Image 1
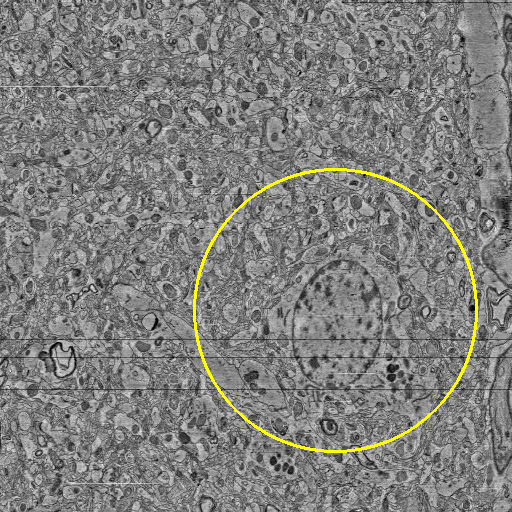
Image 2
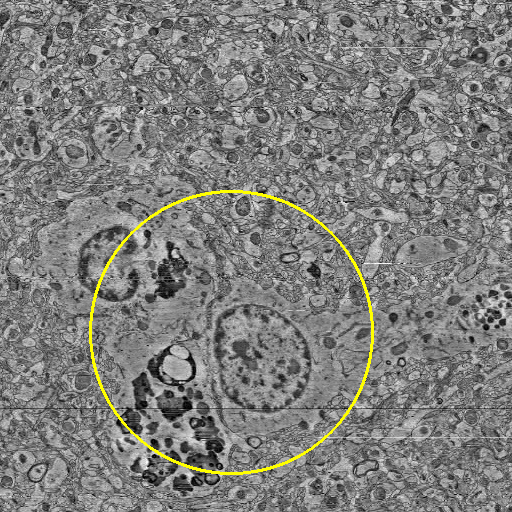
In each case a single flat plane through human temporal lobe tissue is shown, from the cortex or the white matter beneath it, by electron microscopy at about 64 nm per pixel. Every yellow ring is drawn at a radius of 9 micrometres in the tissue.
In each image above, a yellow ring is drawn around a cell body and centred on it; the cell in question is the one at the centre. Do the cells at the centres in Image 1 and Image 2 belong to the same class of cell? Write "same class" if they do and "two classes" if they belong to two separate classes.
same class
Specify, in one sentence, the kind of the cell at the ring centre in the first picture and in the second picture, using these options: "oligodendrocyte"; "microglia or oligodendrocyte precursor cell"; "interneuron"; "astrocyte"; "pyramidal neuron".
The first and the second cell are each an astrocyte.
